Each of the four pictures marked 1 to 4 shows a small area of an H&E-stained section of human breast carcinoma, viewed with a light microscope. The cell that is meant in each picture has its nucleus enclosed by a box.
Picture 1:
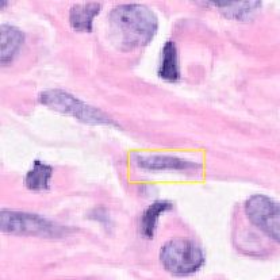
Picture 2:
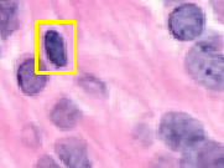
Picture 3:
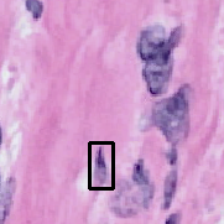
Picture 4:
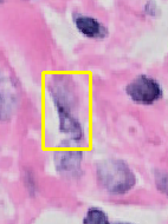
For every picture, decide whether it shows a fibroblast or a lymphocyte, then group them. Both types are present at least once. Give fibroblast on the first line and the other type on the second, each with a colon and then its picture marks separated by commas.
fibroblast: 1, 3, 4
lymphocyte: 2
